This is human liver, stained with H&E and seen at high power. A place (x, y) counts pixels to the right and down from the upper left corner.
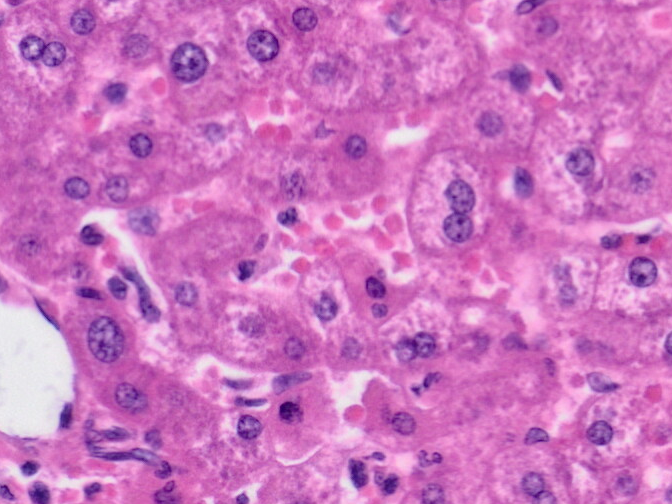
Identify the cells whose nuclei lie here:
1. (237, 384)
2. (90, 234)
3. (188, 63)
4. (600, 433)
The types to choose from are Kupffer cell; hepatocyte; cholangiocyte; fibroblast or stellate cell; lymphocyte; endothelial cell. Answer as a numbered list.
1. Kupffer cell
2. Kupffer cell
3. hepatocyte
4. hepatocyte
